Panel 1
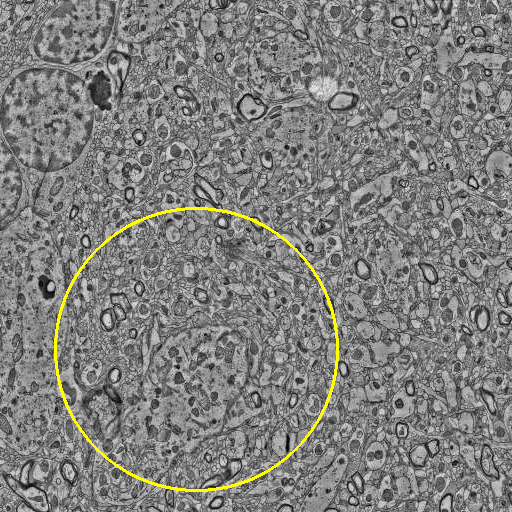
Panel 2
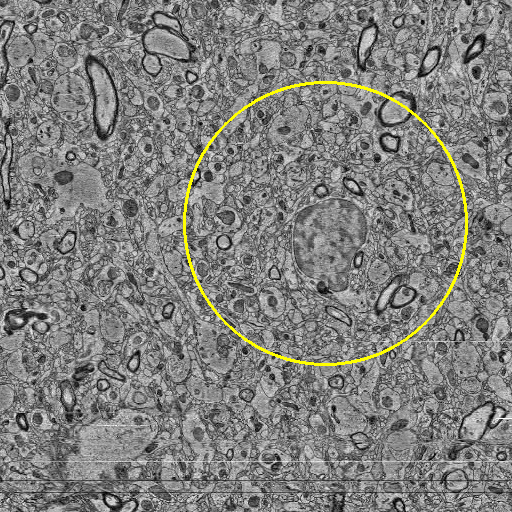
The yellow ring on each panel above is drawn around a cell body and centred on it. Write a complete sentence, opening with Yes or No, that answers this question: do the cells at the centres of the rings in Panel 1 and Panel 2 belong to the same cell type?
No, the two cells belong to two cell types.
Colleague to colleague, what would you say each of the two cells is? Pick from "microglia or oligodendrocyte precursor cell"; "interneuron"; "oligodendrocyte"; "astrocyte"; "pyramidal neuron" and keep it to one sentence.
The cell in the first picture is an interneuron; the second picture's cell is a microglial cell or oligodendrocyte precursor cell.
